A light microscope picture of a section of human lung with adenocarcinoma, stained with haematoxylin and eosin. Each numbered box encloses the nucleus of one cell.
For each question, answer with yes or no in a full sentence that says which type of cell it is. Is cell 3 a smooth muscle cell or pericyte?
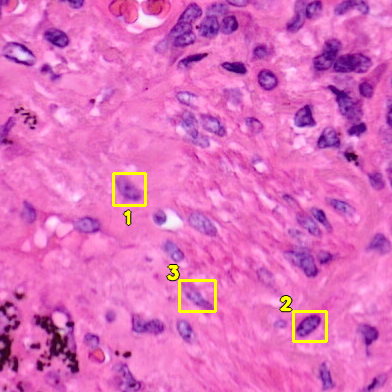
Yes, the cell that is numbered 3 is a smooth muscle cell or pericyte.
